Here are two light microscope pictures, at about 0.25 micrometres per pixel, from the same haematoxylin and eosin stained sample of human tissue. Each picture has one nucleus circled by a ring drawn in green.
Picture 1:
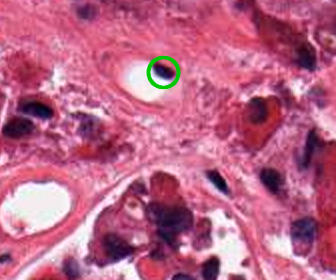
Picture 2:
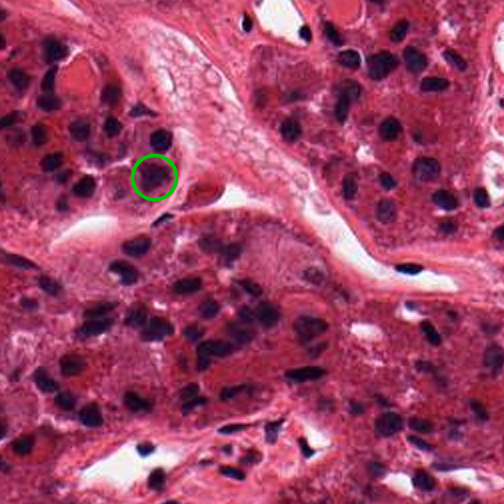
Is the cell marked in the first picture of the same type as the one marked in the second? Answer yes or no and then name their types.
No, the first is an endothelial cell and the second an anterior pituitary cell.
